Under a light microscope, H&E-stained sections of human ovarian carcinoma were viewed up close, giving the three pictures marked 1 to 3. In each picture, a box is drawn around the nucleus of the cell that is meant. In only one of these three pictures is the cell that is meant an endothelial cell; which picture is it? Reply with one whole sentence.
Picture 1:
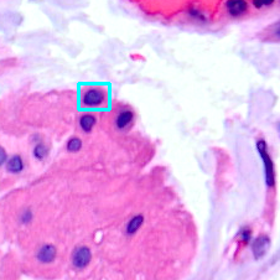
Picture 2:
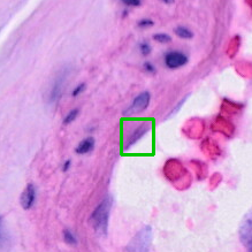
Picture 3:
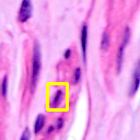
Picture 2 is the one that shows the endothelial cell.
